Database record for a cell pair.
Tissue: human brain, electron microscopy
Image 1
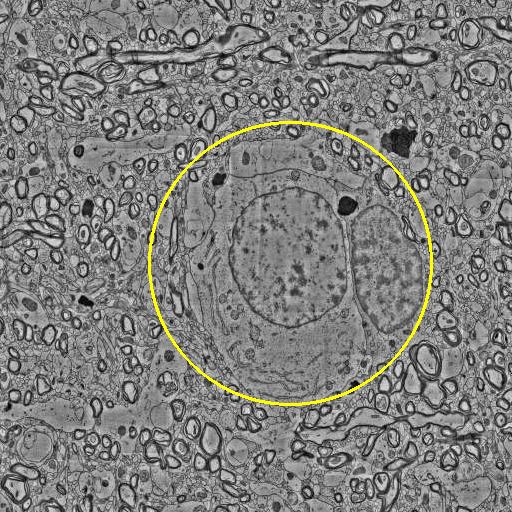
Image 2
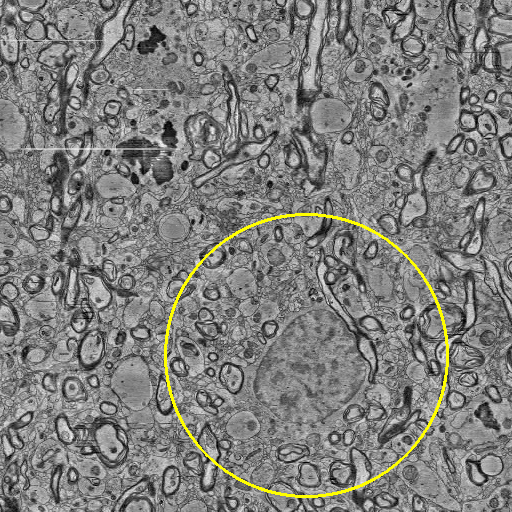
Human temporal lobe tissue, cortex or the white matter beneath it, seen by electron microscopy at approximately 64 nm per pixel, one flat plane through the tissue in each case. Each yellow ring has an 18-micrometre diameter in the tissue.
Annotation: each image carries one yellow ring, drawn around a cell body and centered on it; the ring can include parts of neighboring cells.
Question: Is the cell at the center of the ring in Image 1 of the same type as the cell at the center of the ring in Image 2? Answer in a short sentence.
No, the cells are of two types.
